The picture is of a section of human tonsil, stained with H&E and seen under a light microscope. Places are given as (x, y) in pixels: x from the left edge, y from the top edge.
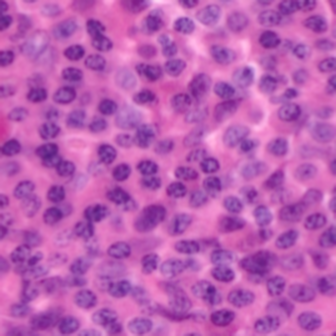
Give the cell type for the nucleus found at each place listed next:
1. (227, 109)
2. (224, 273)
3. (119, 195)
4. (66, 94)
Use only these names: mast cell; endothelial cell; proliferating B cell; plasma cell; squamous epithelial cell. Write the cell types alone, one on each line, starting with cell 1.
squamous epithelial cell
plasma cell
plasma cell
plasma cell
